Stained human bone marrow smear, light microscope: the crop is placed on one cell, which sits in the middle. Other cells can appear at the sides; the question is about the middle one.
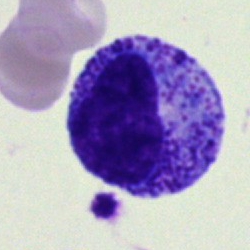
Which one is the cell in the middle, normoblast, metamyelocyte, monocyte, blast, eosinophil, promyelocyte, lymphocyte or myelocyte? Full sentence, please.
The centrally located cell in the crop is a promyelocyte.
